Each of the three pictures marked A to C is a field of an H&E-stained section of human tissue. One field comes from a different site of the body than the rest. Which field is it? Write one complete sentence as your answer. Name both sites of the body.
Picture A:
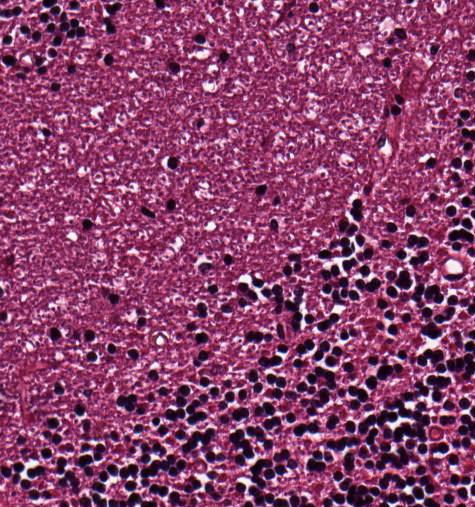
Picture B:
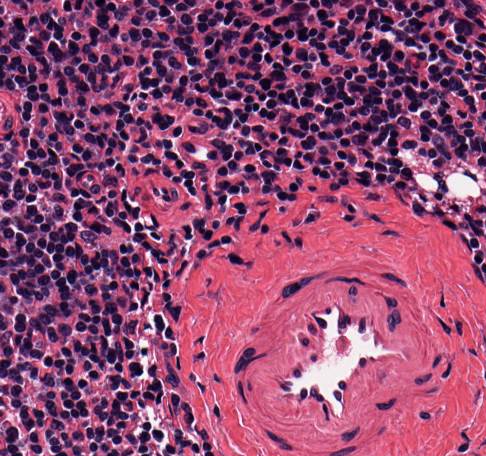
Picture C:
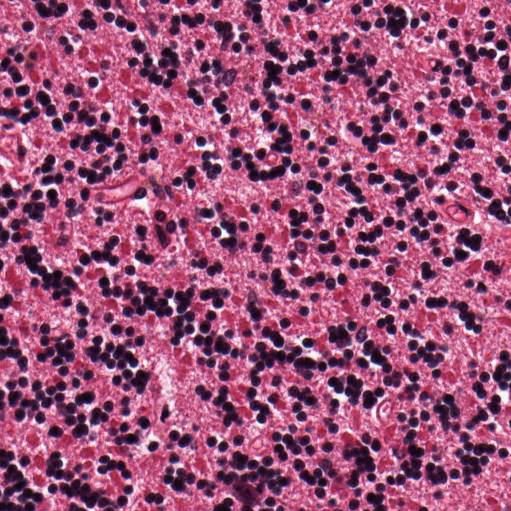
Picture B is the odd one out: it comes from the spleen, while the others come from the cerebellum.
